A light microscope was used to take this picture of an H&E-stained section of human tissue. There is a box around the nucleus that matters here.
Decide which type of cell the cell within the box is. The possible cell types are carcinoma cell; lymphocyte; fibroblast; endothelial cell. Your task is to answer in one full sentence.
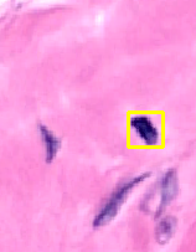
Labelled by cell type, the cell within the box is a lymphocyte.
